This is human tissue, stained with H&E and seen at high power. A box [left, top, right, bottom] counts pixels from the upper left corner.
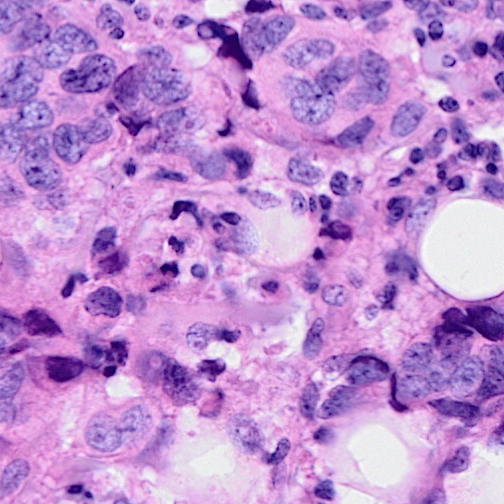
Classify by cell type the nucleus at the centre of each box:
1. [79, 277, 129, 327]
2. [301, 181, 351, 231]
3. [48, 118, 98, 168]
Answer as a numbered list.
1. carcinoma cell
2. lymphocyte
3. carcinoma cell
